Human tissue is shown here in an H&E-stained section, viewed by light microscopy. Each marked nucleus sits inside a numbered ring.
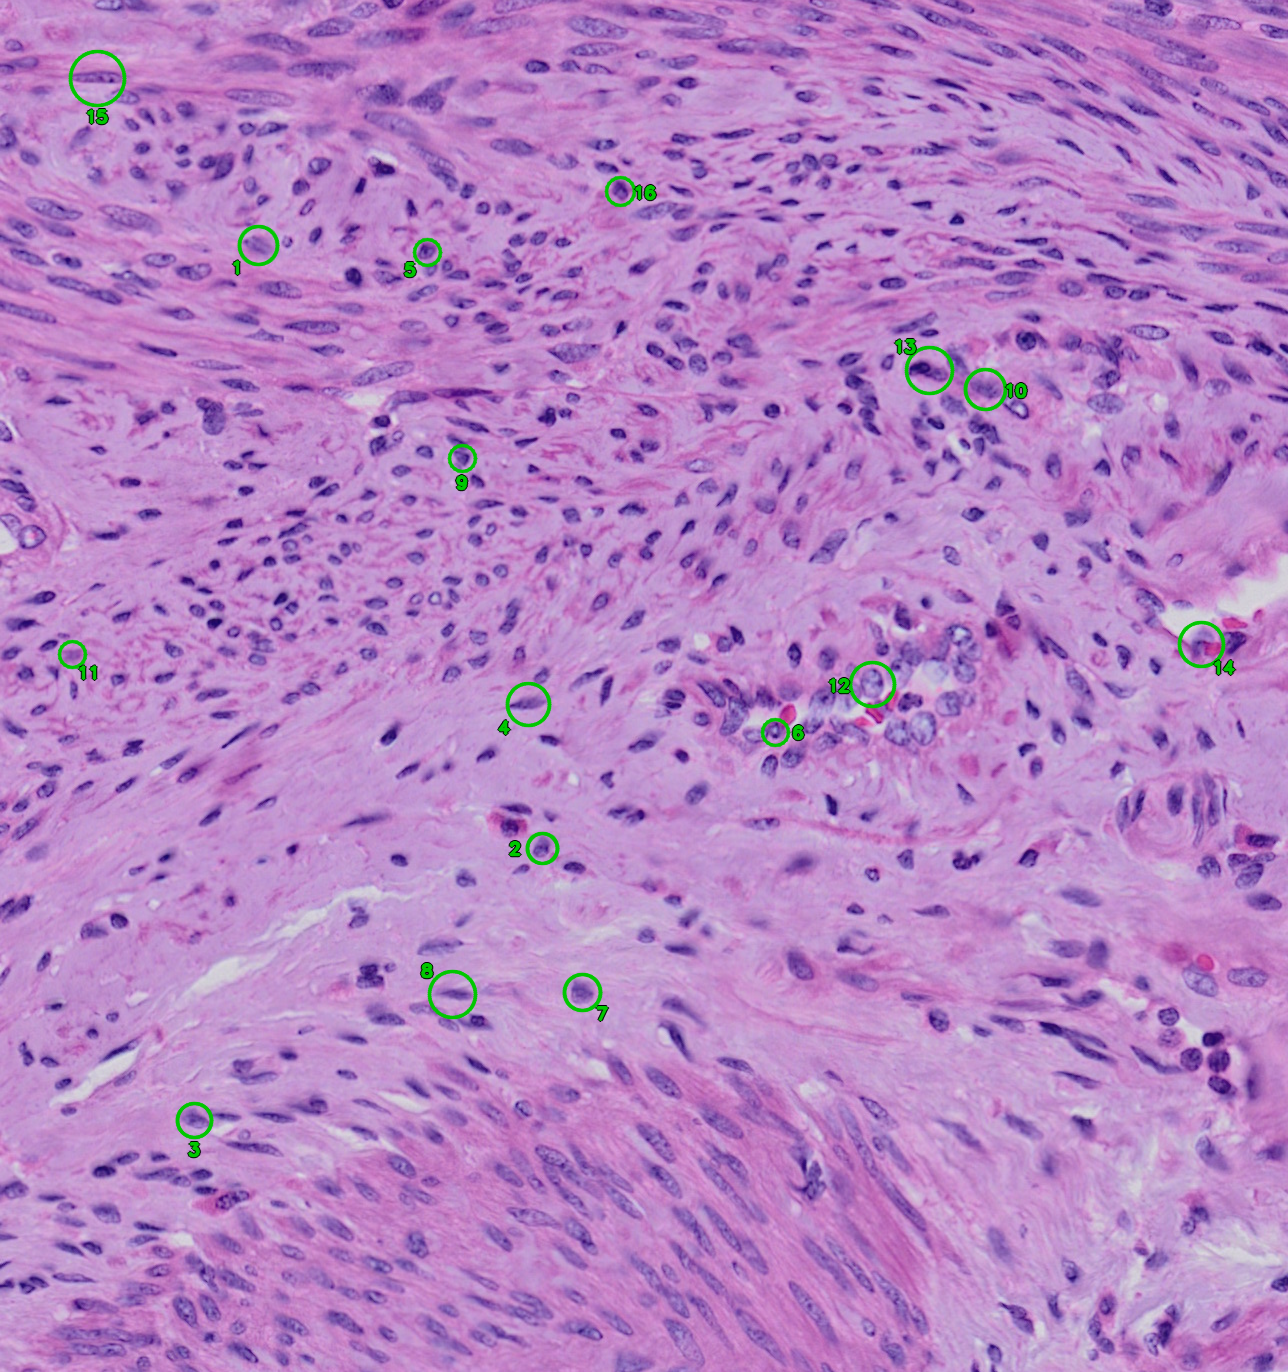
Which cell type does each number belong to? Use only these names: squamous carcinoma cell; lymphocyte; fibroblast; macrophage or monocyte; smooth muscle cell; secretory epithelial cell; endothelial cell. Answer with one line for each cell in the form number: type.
1: smooth muscle cell
2: fibroblast
3: fibroblast
4: fibroblast
5: smooth muscle cell
6: endothelial cell
7: fibroblast
8: fibroblast
9: fibroblast
10: endothelial cell
11: smooth muscle cell
12: endothelial cell
13: endothelial cell
14: endothelial cell
15: smooth muscle cell
16: smooth muscle cell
